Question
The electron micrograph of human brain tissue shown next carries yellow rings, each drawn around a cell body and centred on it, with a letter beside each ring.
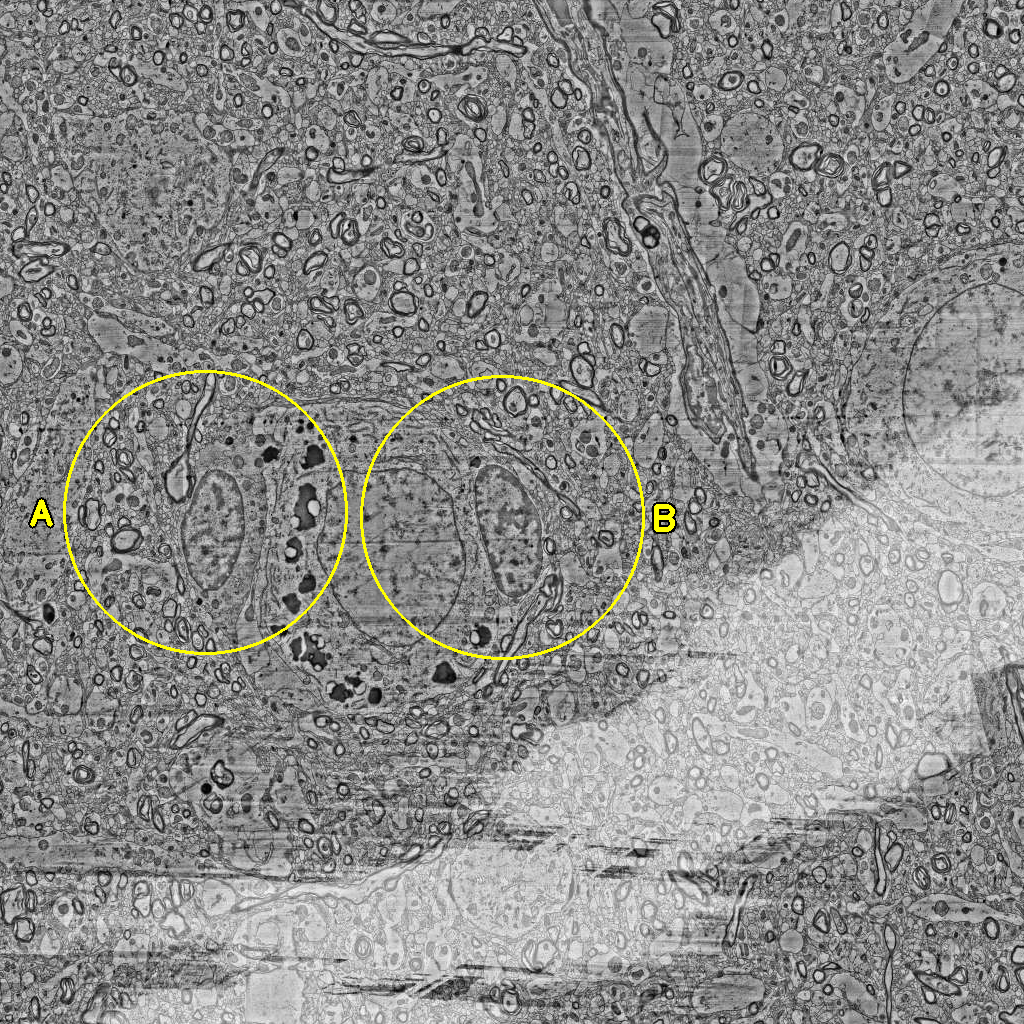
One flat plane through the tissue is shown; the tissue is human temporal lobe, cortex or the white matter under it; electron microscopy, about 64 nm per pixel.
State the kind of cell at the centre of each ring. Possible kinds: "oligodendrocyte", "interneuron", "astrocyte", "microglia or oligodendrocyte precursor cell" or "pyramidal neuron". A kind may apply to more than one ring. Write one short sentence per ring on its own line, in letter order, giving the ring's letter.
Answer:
The cell centred in ring A is an oligodendrocyte.
The cell centred in ring B is a microglial cell or oligodendrocyte precursor cell.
